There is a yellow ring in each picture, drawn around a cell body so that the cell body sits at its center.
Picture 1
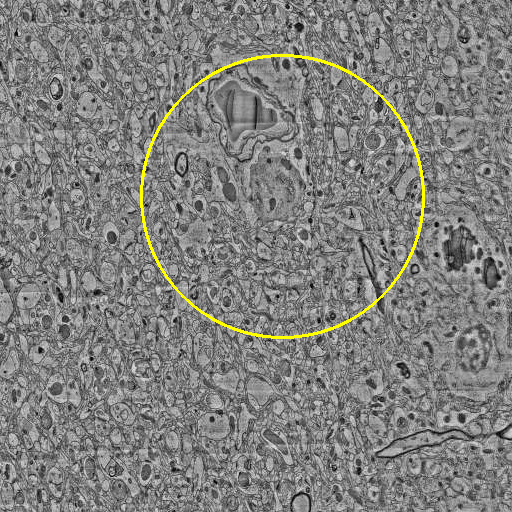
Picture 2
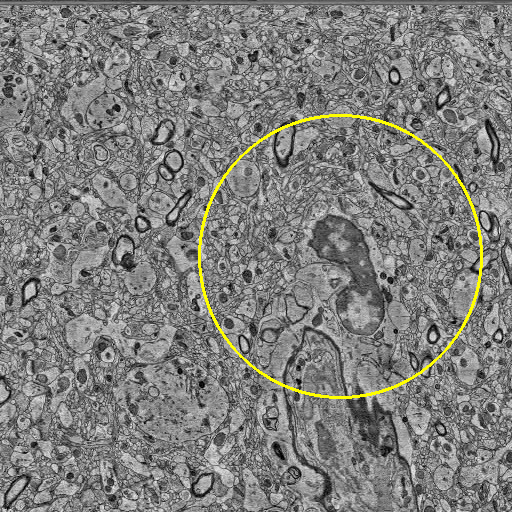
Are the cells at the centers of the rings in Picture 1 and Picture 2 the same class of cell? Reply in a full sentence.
No, the two cells are two classes of cell.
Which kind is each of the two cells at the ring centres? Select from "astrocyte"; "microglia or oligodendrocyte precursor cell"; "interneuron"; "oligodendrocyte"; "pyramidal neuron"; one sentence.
The cell at the centre of the ring is an oligodendrocyte in the first picture and a microglial cell or oligodendrocyte precursor cell in the second.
